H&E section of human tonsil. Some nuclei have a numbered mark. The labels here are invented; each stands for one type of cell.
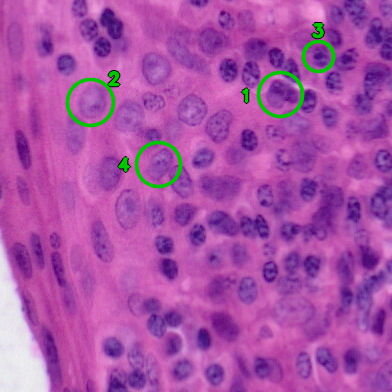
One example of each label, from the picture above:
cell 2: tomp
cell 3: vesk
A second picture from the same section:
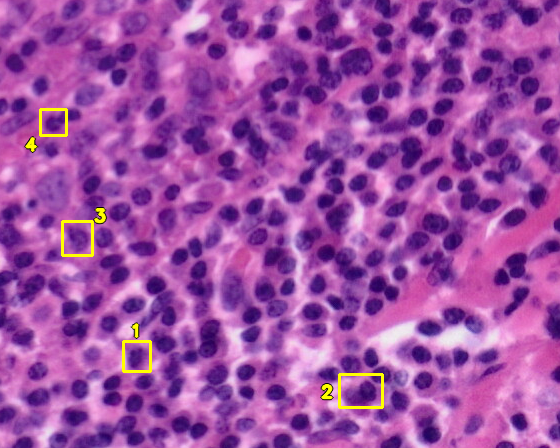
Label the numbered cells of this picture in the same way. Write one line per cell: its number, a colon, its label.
1: vesk
2: vesk
3: tomp
4: tomp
